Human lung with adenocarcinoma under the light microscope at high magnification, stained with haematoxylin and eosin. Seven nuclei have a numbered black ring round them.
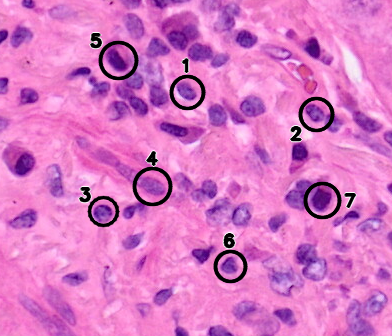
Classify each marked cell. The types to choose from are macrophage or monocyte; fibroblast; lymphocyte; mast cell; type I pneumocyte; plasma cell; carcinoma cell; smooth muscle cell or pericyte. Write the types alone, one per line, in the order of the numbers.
lymphocyte
mast cell
mast cell
smooth muscle cell or pericyte
plasma cell
lymphocyte
plasma cell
